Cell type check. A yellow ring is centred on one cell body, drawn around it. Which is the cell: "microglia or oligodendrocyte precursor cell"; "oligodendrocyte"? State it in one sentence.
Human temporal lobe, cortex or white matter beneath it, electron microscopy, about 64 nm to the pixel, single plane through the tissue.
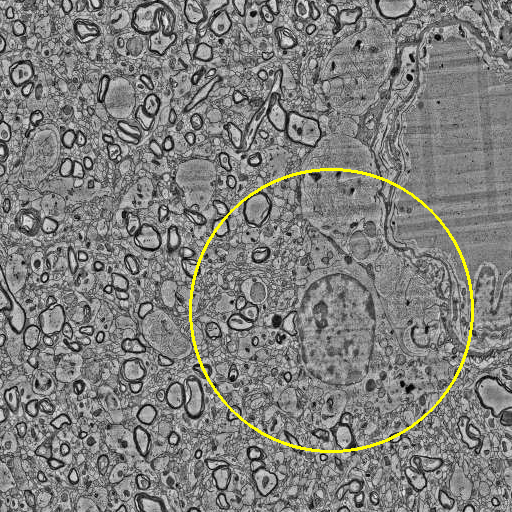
The cell body at the ring's centre belongs to an oligodendrocyte.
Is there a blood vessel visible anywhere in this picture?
Yes.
